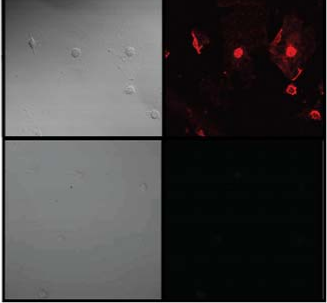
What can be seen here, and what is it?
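Scattered cultured cells on a plain background, seen in bright field and by red fluorescence. In the upper row a few isolated cells lie apart from one another; some are small and rounded, others are flattened and spread with irregular outlines, and their cytoplasm glows red. In the lower row the bright-field field is almost empty, and no red fluorescence is seen.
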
